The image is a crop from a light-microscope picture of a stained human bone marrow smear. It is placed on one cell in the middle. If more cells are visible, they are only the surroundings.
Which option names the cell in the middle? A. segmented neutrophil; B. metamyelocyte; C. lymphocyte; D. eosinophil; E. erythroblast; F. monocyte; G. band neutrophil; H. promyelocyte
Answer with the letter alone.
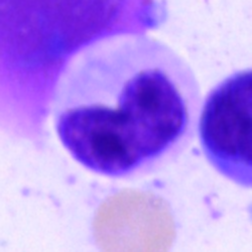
B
